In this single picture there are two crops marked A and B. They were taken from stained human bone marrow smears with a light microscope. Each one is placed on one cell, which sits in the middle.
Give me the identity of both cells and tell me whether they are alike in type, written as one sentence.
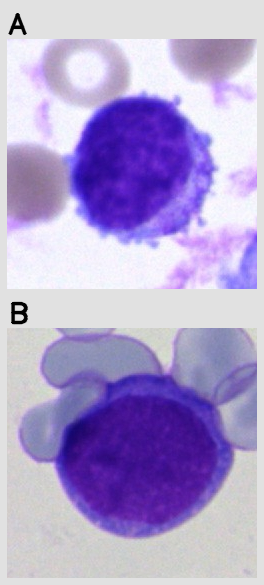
Yes, the centre cells of both crops are blasts.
